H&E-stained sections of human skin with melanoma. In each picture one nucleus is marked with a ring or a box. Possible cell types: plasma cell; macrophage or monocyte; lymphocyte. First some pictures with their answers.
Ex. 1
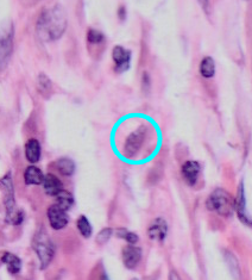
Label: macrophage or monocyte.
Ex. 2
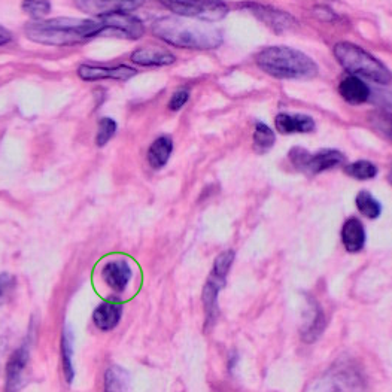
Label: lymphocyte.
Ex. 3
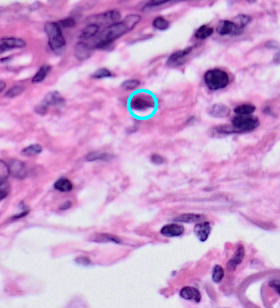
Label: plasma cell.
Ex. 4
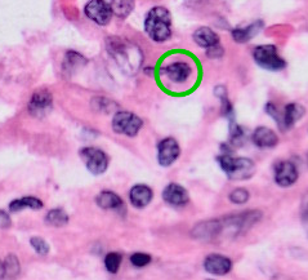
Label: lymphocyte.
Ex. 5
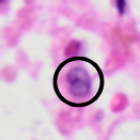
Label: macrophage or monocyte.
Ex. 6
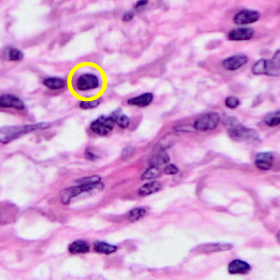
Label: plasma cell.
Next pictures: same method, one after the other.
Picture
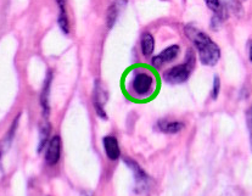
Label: plasma cell.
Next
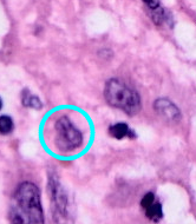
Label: macrophage or monocyte.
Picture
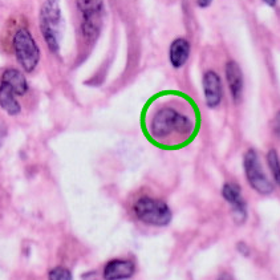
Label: macrophage or monocyte.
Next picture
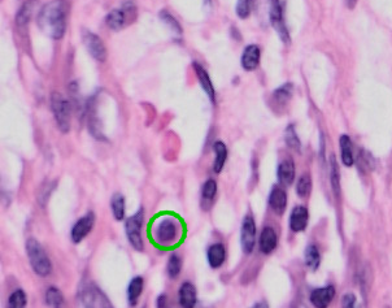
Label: plasma cell.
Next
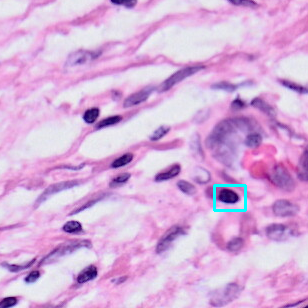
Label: plasma cell.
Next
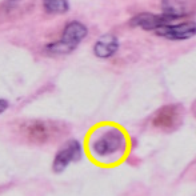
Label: macrophage or monocyte.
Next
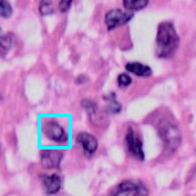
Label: macrophage or monocyte.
